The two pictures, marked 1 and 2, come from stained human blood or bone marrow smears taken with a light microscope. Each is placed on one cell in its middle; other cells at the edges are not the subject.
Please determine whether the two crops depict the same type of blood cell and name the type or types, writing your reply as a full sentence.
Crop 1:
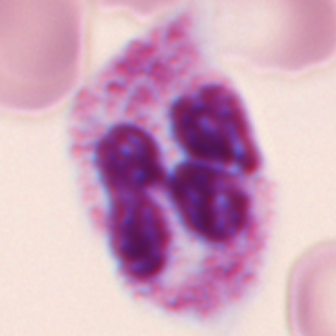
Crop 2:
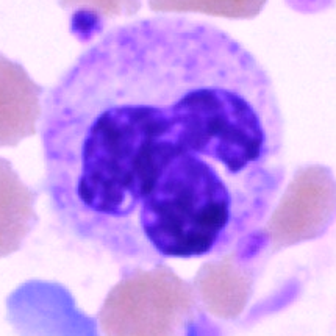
Yes, both crops show segmented neutrophils, to put it briefly.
